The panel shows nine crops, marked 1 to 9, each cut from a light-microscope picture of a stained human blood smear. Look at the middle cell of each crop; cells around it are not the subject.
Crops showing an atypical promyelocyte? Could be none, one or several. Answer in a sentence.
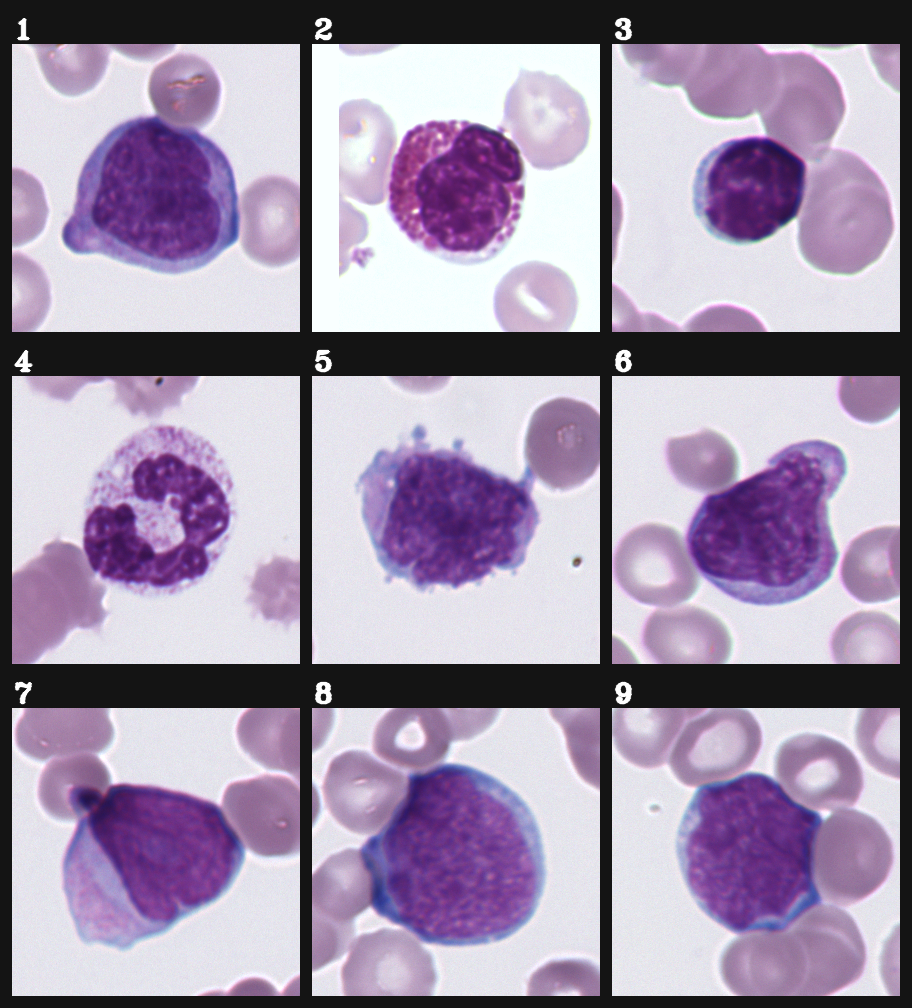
Crops 1, 5, 6 and 7 are the ones showing atypical promyelocytes.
